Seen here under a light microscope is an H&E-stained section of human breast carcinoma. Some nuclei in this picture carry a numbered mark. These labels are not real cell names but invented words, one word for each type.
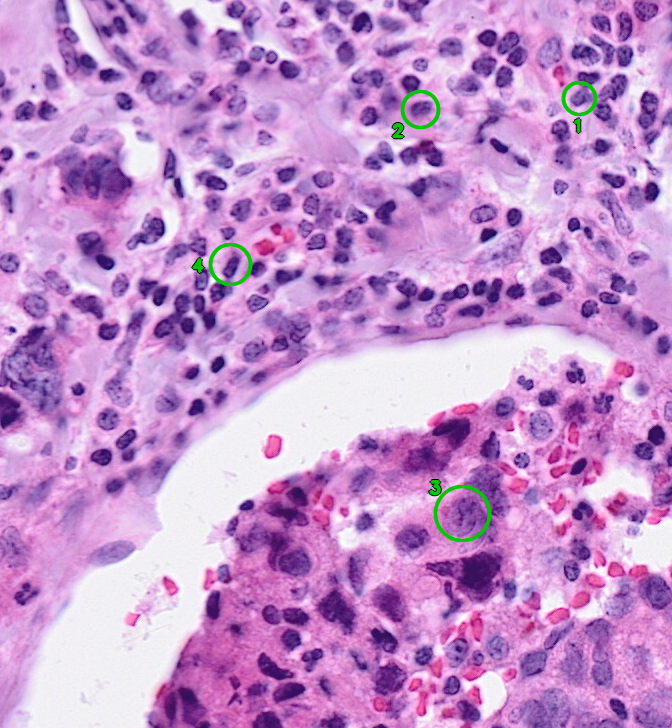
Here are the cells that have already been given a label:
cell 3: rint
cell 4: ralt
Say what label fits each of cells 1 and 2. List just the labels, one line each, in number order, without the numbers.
ralt
ralt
